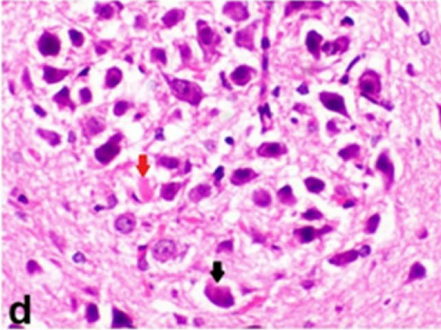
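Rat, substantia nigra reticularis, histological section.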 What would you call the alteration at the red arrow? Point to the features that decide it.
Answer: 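The arrow points to a small, compact, intensely pink body. Many surrounding neurons are small, dark and angular.
Answer: dense eosinophilic bodies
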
